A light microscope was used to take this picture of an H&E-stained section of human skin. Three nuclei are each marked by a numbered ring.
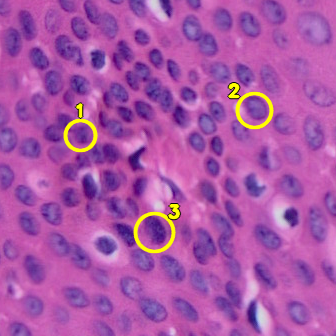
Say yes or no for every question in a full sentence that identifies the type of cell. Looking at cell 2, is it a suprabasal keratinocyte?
Yes, the cell with the mark numbered 2 is a suprabasal keratinocyte.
